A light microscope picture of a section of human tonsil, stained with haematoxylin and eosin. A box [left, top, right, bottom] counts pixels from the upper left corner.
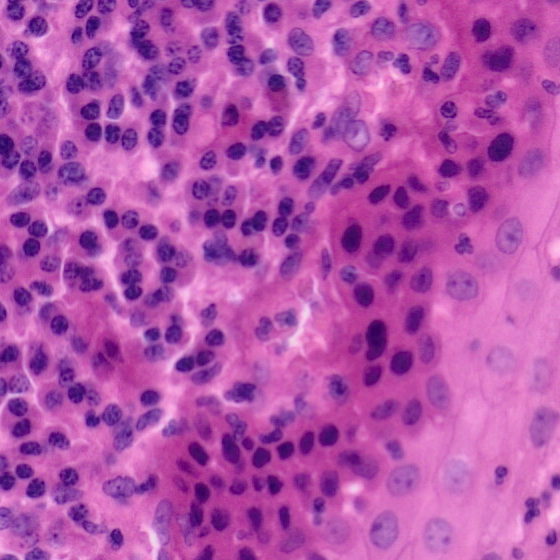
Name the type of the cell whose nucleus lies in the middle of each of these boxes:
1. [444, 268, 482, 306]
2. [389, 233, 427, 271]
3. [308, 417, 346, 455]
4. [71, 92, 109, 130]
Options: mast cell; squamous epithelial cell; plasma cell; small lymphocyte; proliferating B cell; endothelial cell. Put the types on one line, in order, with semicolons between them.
squamous epithelial cell; squamous epithelial cell; squamous epithelial cell; plasma cell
